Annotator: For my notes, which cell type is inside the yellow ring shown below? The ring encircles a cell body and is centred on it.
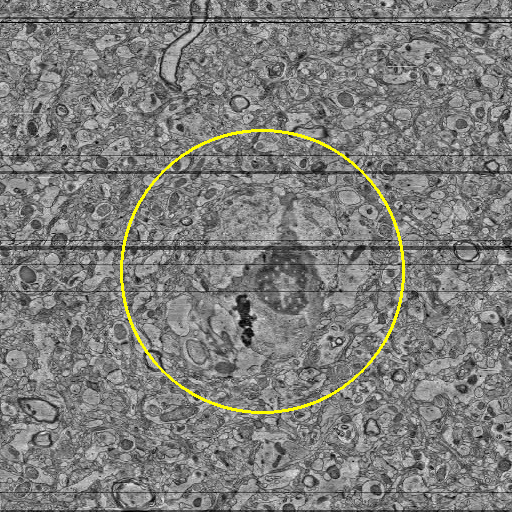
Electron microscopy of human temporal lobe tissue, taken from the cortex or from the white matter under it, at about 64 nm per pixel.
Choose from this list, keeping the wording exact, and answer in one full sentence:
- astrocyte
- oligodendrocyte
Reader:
At the centre of the yellow ring there is an oligodendrocyte, as shown in the picture.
